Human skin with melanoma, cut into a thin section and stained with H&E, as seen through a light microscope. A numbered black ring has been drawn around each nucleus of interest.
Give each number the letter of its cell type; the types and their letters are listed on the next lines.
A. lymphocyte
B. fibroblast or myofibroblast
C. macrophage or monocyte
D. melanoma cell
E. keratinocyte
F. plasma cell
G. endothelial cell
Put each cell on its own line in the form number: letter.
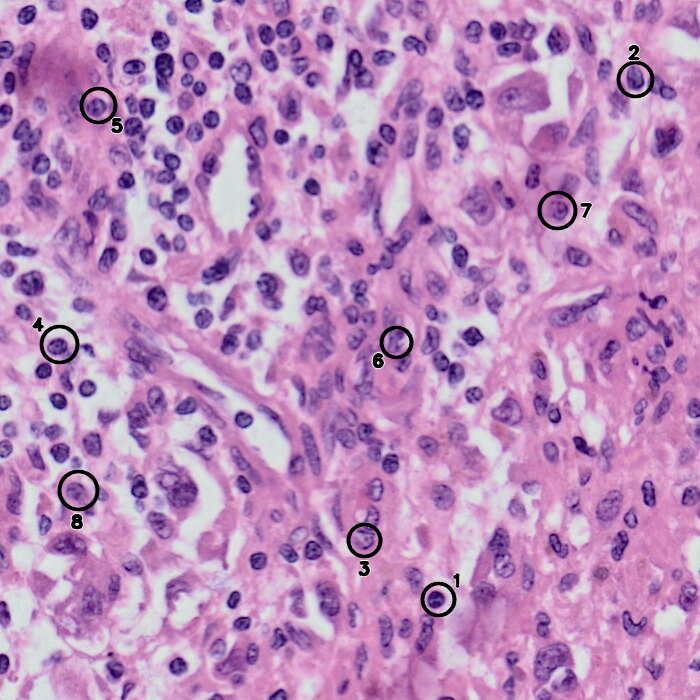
1: A
2: A
3: G
4: A
5: A
6: G
7: C
8: C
